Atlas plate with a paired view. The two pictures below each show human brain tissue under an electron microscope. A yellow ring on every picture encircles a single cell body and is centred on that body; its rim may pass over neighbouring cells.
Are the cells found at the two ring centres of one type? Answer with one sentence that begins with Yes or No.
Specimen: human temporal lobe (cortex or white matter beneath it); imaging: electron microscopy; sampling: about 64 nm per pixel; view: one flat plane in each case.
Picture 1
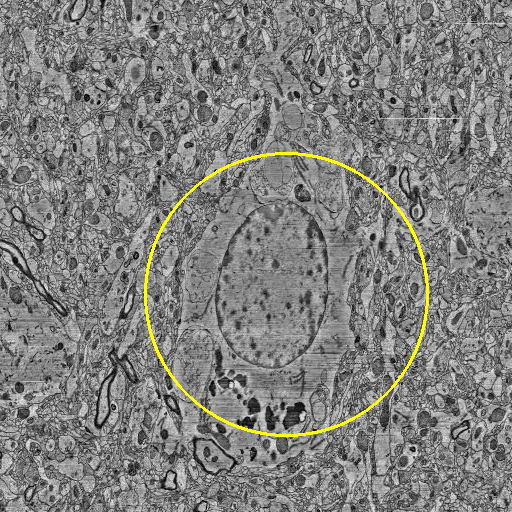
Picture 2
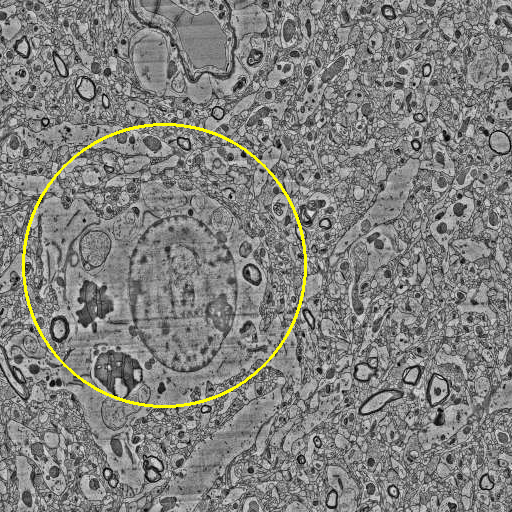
Yes, the two cells lying at the centres of the rings share a single type.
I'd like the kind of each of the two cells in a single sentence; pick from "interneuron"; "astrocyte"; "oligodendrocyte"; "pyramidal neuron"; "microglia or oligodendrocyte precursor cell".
Both pictures show an astrocyte at the centre of the ring.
